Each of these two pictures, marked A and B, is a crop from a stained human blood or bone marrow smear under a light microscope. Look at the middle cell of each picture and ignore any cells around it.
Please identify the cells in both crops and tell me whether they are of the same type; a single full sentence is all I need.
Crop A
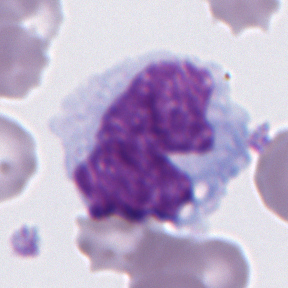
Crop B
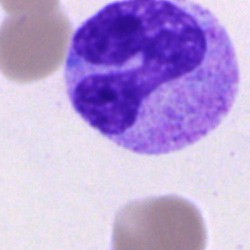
No, a monocyte is what occupies crop A, and a band neutrophil is what occupies crop B.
